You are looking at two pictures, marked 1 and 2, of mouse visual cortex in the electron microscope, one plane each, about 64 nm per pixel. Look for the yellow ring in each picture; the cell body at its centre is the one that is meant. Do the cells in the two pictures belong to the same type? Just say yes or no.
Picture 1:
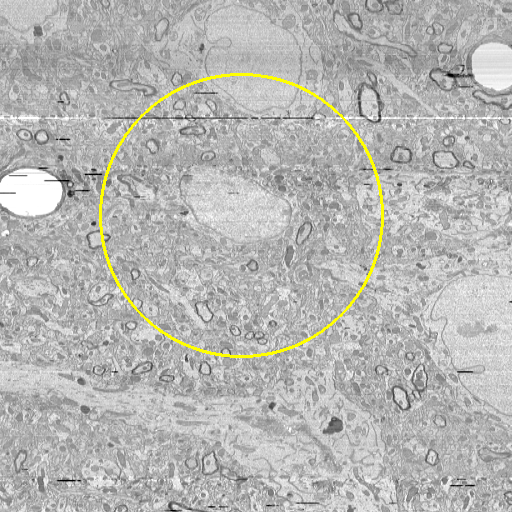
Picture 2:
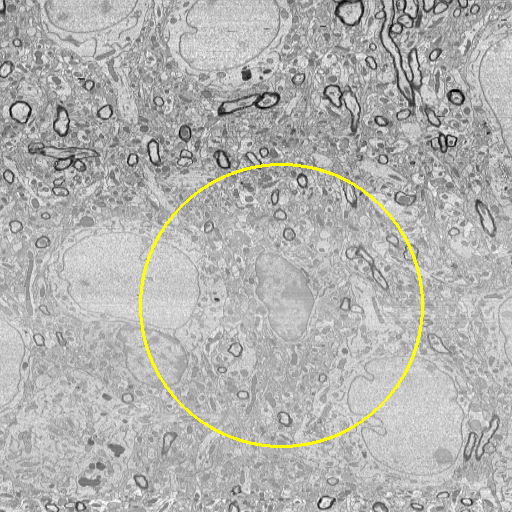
no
